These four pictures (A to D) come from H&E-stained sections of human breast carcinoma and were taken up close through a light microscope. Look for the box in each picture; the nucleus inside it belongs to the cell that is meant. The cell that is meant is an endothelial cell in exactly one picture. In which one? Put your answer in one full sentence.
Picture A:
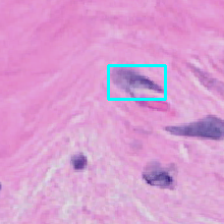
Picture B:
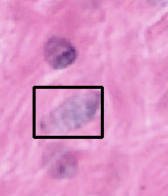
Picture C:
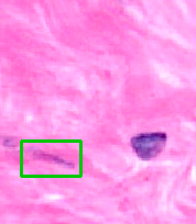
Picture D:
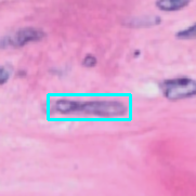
The picture with the endothelial cell is A.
